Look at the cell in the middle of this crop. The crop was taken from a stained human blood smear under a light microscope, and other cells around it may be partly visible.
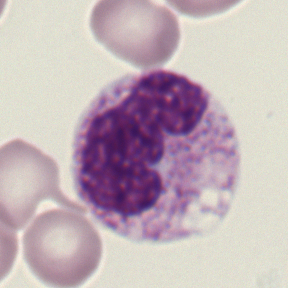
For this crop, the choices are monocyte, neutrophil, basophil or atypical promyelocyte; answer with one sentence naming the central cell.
Of the cells in this crop, the central one is a neutrophil.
